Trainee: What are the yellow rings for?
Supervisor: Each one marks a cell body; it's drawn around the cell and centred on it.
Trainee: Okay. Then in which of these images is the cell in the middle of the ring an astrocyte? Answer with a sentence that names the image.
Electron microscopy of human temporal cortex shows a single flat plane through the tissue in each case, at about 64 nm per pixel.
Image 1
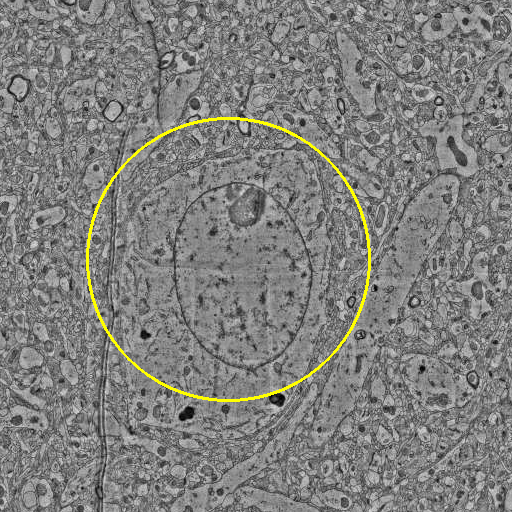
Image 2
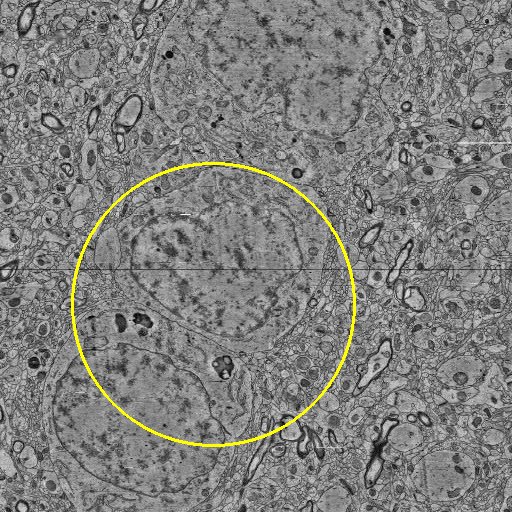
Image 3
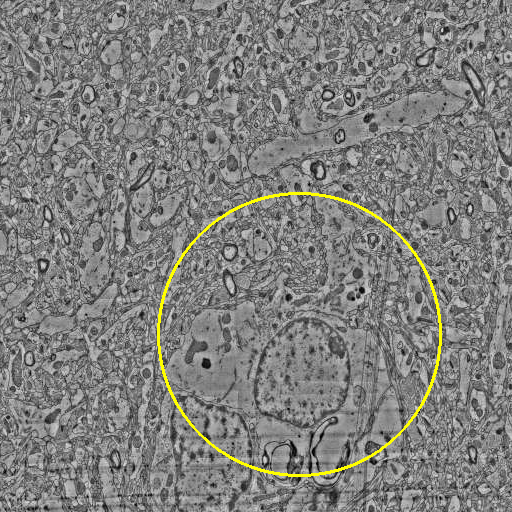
Image 3 has it in the middle of the ring.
